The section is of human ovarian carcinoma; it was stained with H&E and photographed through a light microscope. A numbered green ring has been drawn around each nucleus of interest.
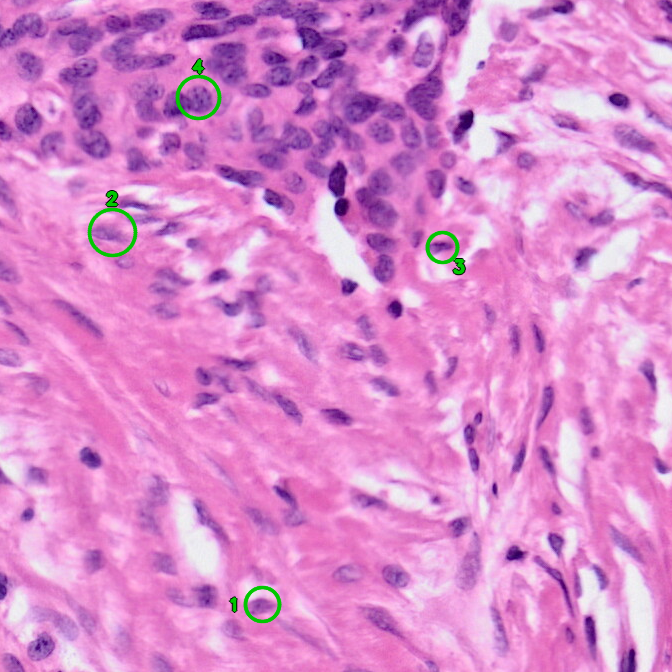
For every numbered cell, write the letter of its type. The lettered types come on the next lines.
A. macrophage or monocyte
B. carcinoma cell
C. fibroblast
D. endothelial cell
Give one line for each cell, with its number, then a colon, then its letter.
1: C
2: C
3: C
4: B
